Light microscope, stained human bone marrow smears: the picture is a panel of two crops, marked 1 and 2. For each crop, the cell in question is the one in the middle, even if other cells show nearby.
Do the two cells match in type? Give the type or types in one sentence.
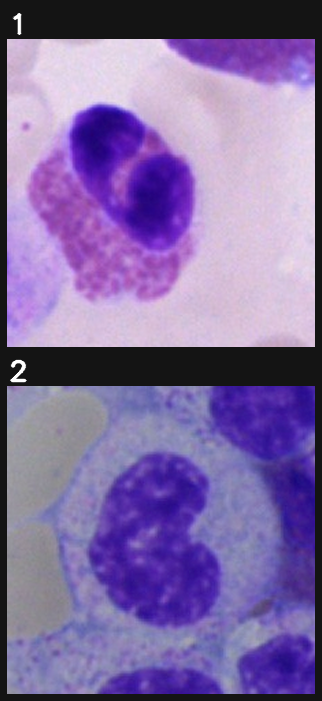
No, the cell centred in crop 2 is a band neutrophil; crop 1 centres on an eosinophil.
